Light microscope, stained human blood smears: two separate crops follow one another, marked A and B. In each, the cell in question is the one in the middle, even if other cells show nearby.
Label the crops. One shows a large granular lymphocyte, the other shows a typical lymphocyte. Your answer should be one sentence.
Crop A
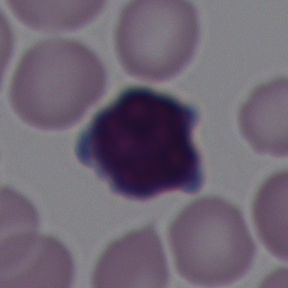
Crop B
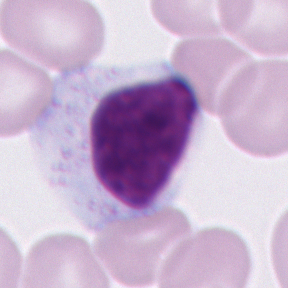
While crop A is a typical lymphocyte, crop B is a large granular lymphocyte.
